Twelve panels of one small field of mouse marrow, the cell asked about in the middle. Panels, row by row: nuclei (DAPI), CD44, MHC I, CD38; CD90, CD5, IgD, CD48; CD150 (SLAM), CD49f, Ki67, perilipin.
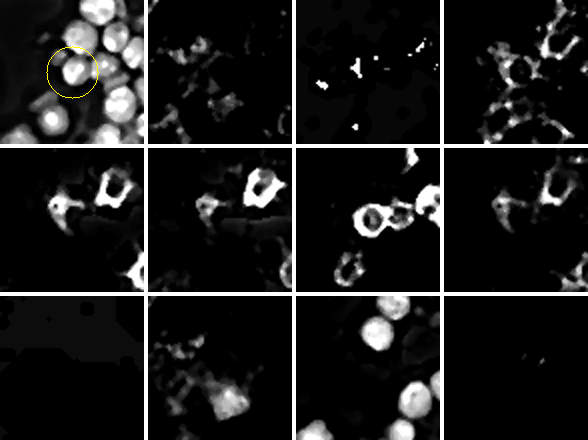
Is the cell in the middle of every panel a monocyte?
No, it is a B cell.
